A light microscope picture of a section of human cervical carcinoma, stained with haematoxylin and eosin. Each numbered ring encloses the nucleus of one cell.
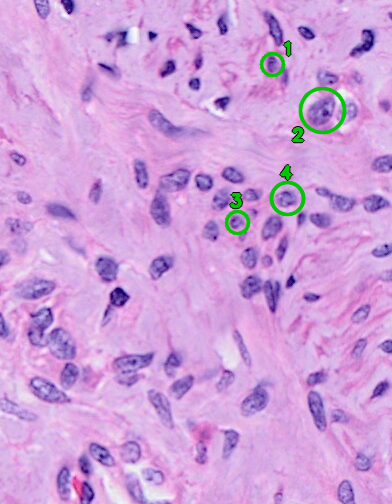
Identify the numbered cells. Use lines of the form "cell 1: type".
cell 1: smooth muscle cell
cell 2: endothelial cell
cell 3: smooth muscle cell
cell 4: smooth muscle cell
